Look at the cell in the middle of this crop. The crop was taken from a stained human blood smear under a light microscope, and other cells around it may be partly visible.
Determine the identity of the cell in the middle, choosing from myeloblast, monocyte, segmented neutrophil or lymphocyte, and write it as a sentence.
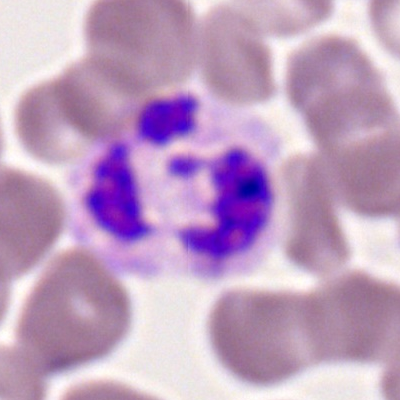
The cell positioned in the middle of the field is a segmented neutrophil.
